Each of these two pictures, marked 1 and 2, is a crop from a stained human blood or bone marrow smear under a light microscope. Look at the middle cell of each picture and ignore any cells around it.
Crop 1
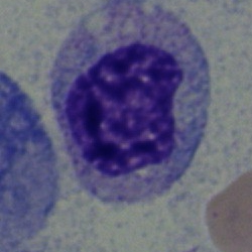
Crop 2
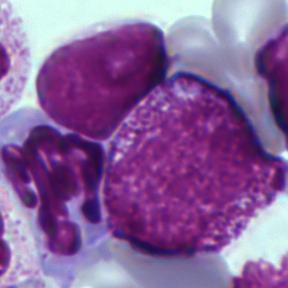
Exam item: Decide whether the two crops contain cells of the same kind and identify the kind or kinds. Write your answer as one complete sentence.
Yes, as for both crops, the cells shown are myelocytes.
